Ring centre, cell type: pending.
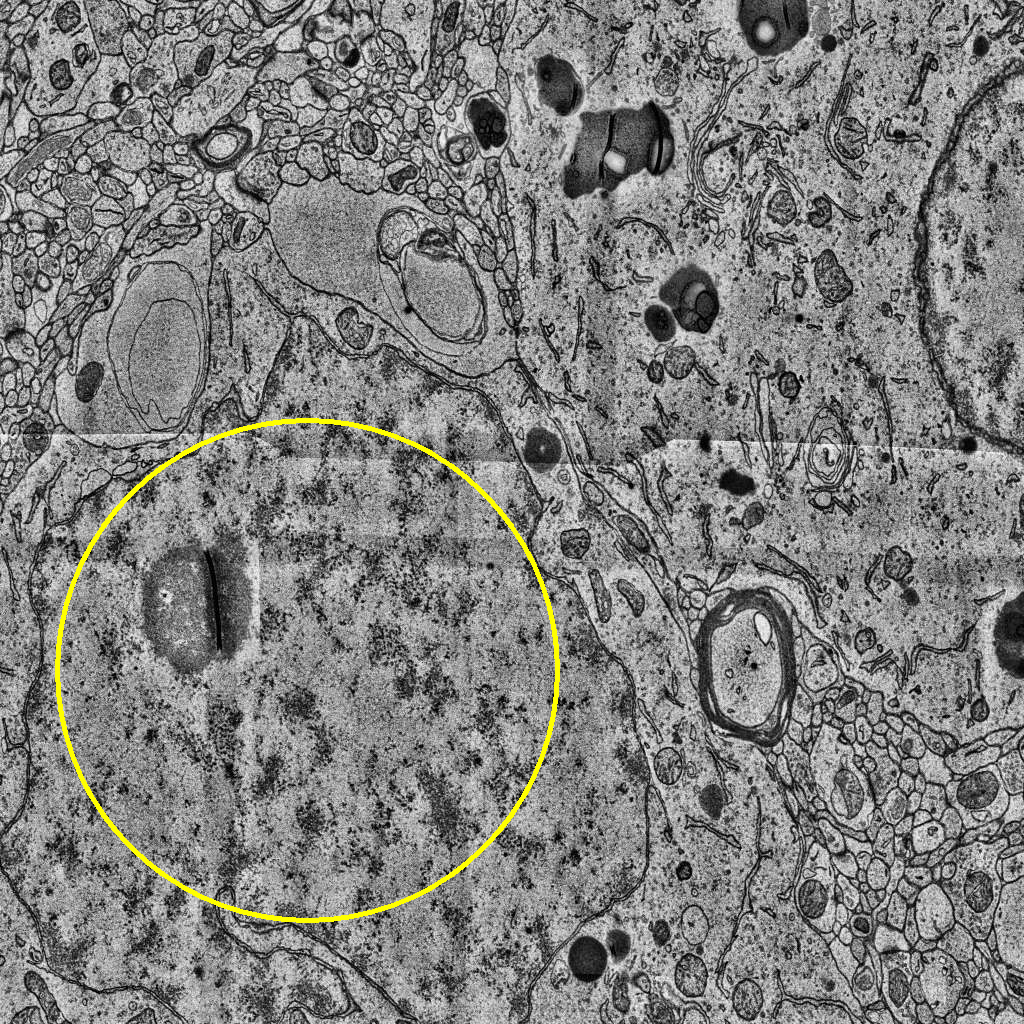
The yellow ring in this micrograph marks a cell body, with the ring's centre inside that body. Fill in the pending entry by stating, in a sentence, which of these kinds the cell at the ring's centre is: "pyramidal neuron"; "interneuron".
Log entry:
The cell at the ring's centre is recorded as an interneuron.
